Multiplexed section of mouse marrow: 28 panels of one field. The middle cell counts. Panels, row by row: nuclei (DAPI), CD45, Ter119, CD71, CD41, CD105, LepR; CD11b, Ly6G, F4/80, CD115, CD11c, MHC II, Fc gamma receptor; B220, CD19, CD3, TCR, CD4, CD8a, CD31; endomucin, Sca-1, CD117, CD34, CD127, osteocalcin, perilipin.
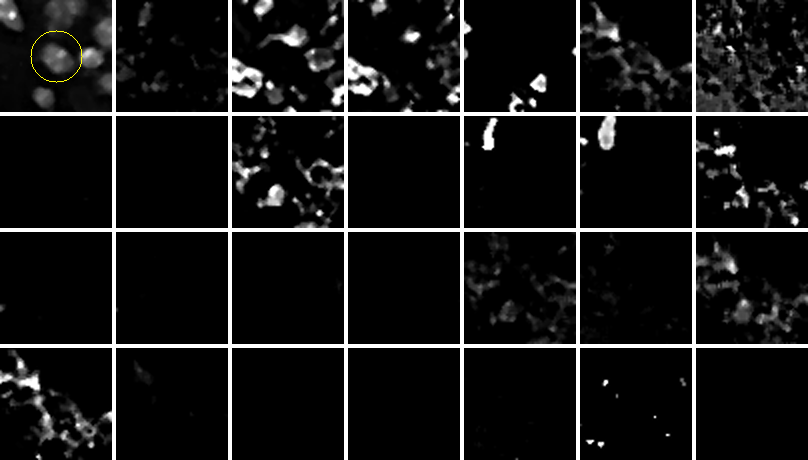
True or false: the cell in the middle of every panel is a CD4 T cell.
False; it is a capillary endothelial cell.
